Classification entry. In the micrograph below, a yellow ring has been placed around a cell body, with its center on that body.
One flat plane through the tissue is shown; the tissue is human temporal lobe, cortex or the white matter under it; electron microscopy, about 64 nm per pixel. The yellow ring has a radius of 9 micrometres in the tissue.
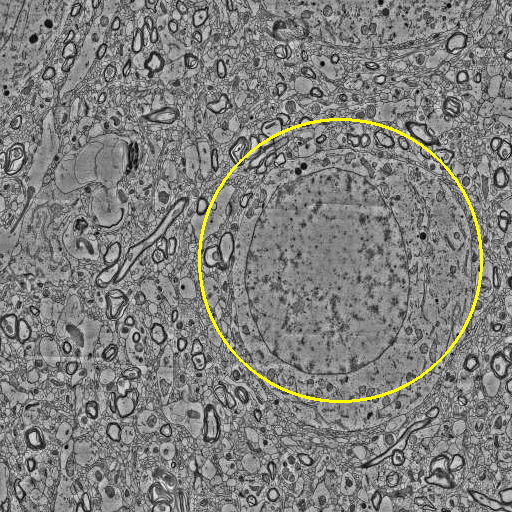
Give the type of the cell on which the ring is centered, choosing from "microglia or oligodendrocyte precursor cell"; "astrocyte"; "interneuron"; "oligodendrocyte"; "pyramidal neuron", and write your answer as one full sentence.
The cell body at the center of the yellow ring belongs to a pyramidal neuron.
